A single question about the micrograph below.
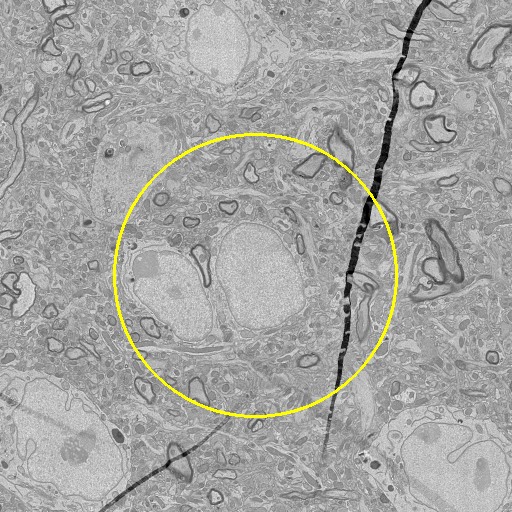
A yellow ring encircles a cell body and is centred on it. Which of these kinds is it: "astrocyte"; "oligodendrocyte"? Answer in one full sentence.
The cell body at the centre of the yellow ring belongs to an astrocyte.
